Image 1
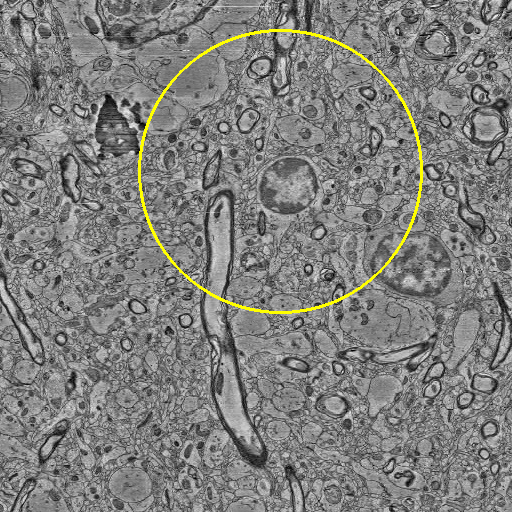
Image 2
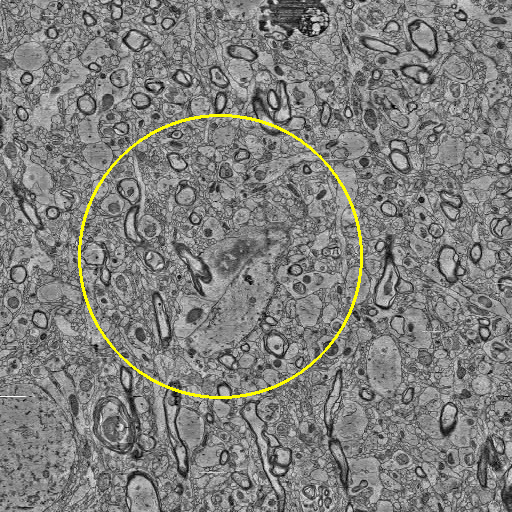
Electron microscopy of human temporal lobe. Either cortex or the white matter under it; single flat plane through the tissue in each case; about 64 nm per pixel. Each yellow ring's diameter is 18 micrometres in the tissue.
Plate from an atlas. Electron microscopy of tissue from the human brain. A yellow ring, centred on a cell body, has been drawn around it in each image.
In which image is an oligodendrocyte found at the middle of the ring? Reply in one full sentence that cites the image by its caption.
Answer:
The requested cell is the one at the ring's centre in Image 2.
